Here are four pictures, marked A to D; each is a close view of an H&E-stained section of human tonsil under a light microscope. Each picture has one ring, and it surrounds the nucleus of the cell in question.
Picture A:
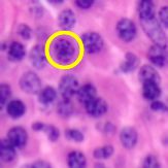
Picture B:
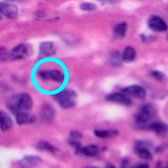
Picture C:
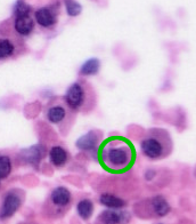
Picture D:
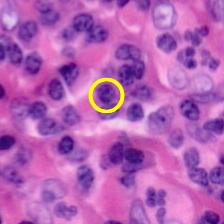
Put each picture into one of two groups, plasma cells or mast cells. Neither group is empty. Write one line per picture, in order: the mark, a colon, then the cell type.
A: plasma cell
B: mast cell
C: plasma cell
D: plasma cell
